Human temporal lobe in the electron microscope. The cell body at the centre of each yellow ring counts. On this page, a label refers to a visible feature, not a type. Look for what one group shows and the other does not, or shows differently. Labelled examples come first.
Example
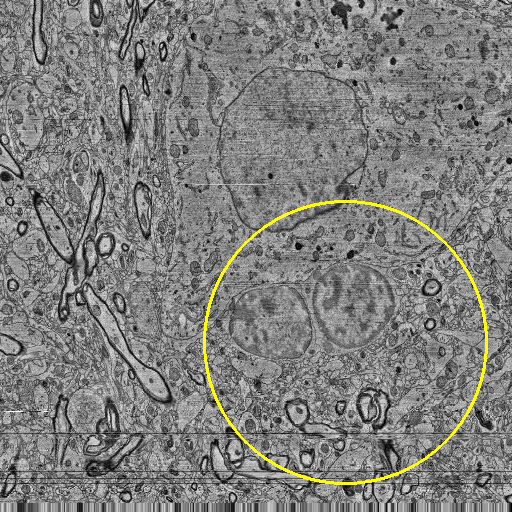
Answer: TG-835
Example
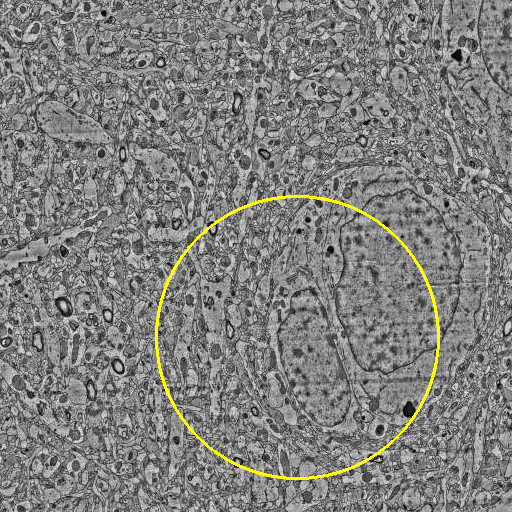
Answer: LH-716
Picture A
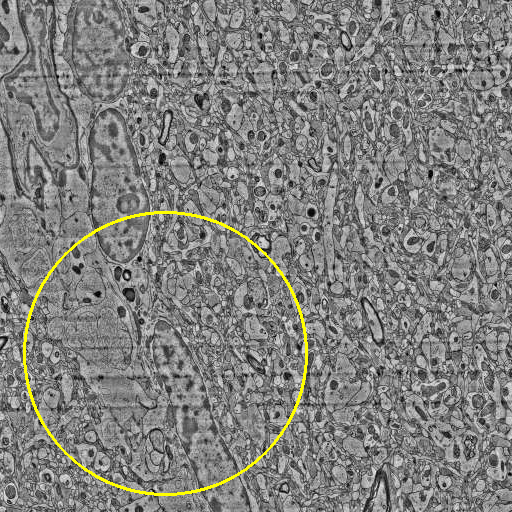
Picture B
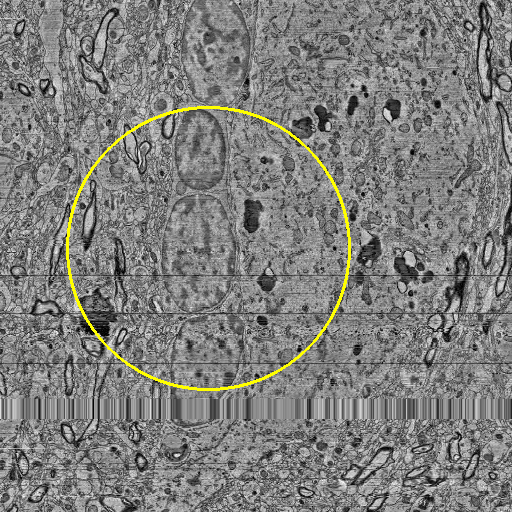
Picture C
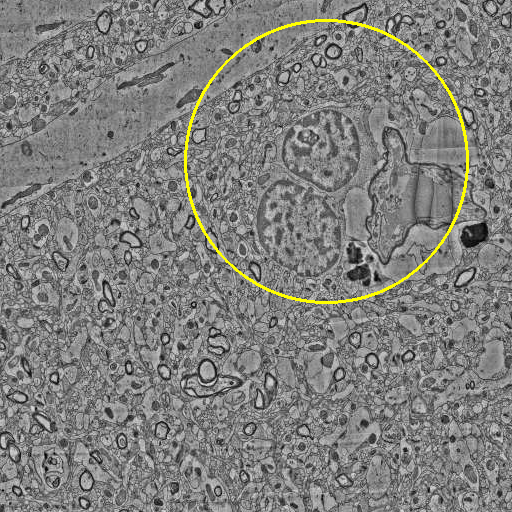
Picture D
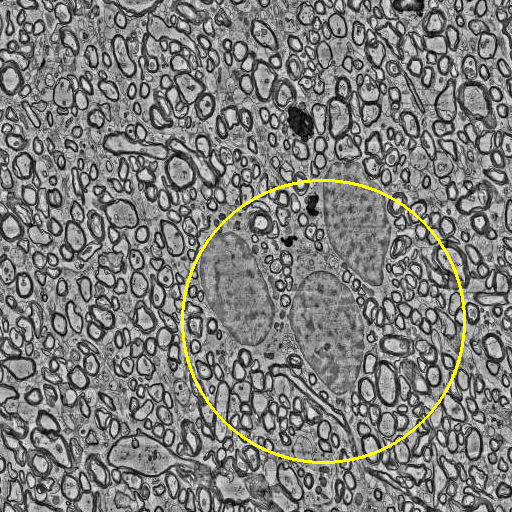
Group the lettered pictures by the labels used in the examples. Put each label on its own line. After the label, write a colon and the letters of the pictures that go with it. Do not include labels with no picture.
TG-835: C
LH-716: A, B, D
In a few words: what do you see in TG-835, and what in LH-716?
TG-835: round or nearly round nuclei; LH-716: clearly elongated nuclei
